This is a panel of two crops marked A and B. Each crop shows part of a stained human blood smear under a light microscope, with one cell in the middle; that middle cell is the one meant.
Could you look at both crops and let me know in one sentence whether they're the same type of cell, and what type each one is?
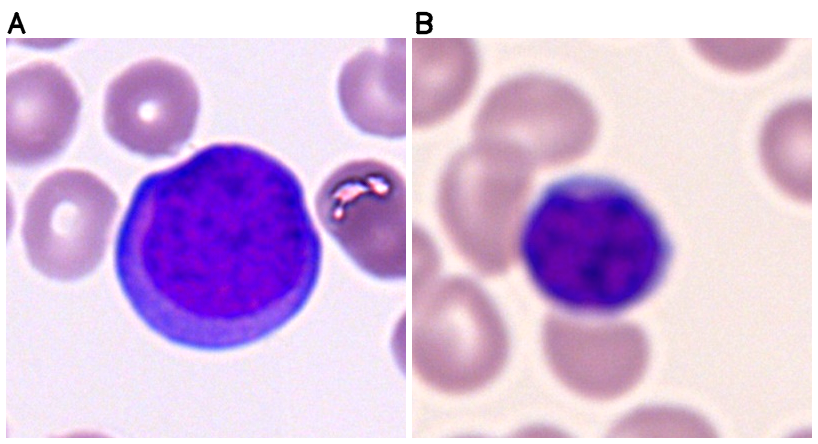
No, crop A offers a blast, while crop B offers a lymphocyte.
